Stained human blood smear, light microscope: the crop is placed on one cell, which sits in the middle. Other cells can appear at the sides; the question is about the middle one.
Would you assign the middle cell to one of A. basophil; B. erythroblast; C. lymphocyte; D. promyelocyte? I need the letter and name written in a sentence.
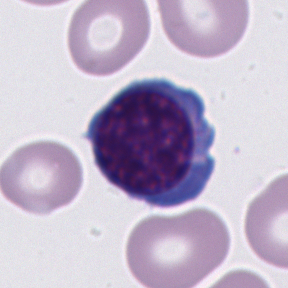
This one is option B, since the cell at the center is an erythroblast.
